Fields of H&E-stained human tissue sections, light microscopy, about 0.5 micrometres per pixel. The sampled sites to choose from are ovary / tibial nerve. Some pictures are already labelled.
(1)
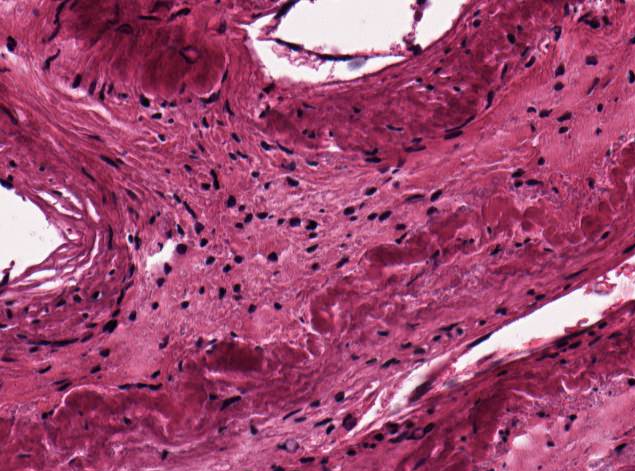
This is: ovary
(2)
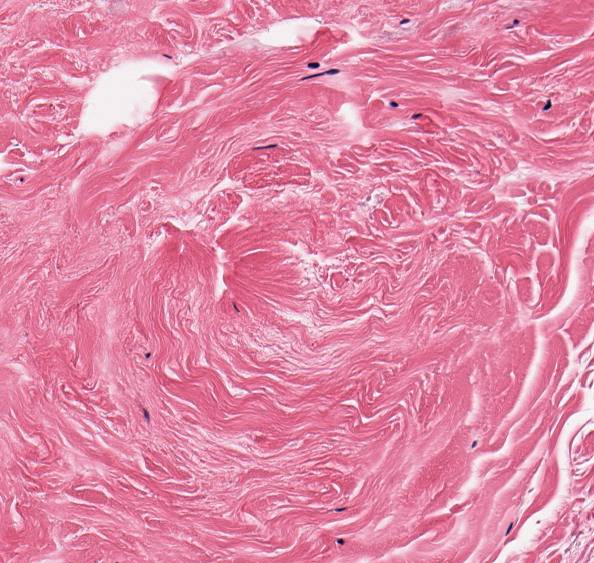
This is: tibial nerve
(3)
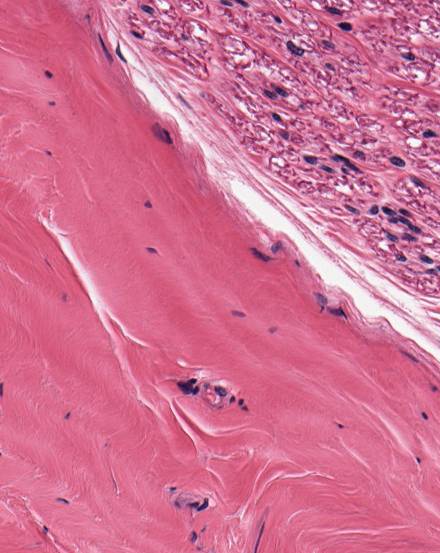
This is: tibial nerve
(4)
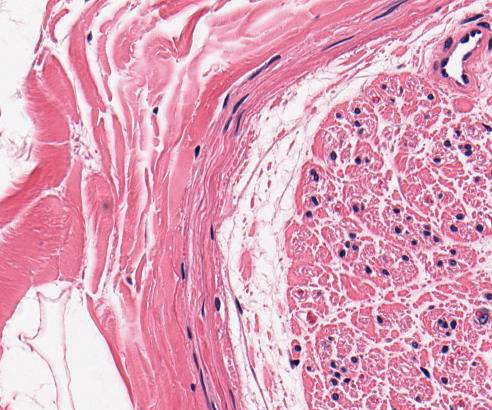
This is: tibial nerve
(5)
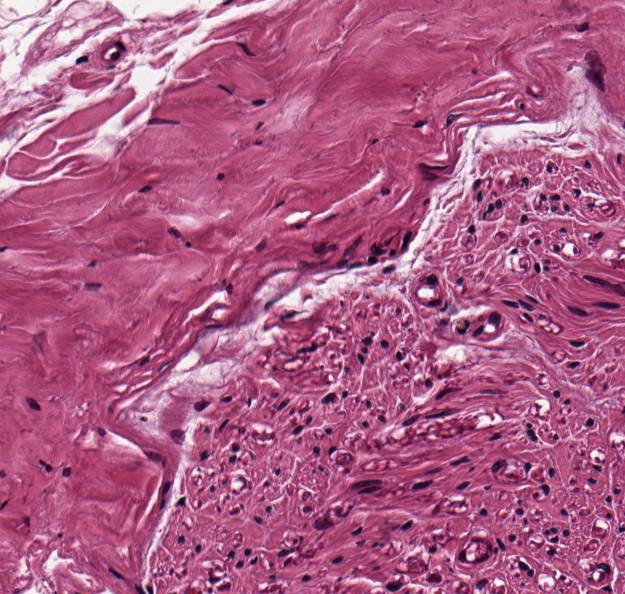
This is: tibial nerve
